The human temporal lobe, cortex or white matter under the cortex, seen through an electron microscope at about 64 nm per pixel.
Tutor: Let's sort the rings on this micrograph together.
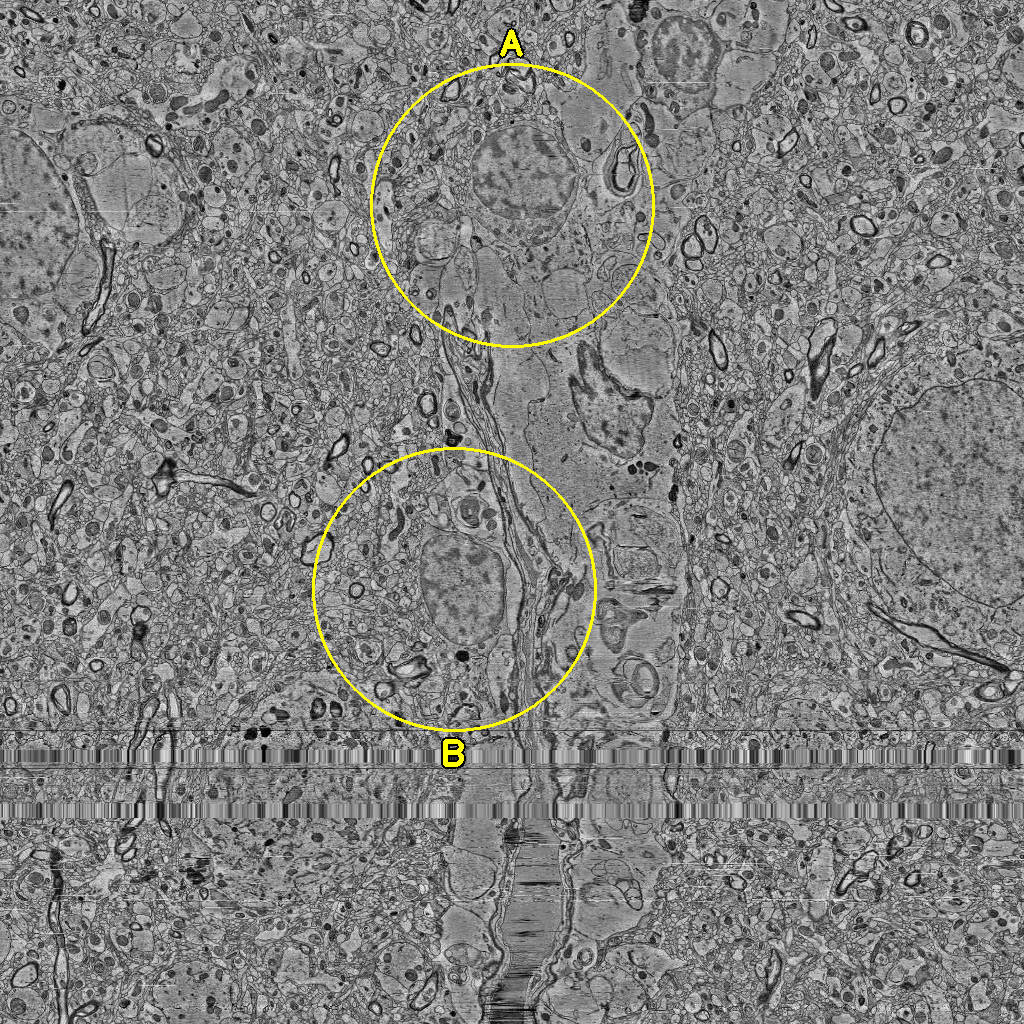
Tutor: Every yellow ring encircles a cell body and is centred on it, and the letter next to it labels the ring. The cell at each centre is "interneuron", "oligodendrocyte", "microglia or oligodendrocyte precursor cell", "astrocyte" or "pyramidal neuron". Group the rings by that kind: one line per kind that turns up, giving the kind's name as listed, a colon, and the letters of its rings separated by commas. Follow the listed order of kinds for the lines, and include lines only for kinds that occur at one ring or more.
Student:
oligodendrocyte: A, B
